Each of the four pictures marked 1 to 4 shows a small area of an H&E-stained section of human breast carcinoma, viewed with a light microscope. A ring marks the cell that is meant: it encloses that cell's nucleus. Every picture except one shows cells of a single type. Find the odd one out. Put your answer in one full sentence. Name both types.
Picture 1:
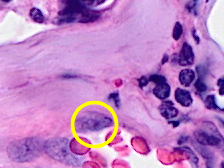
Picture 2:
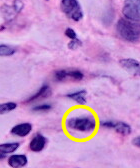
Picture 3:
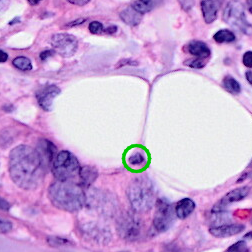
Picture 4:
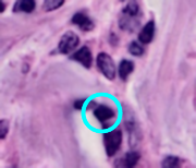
Unlike the rest, which show lymphocytes, picture 1 shows an endothelial cell.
